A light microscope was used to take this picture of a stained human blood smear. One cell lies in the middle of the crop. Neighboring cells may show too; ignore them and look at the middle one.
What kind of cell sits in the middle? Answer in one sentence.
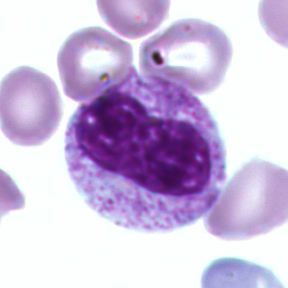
Centred in the crop is a metamyelocyte.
